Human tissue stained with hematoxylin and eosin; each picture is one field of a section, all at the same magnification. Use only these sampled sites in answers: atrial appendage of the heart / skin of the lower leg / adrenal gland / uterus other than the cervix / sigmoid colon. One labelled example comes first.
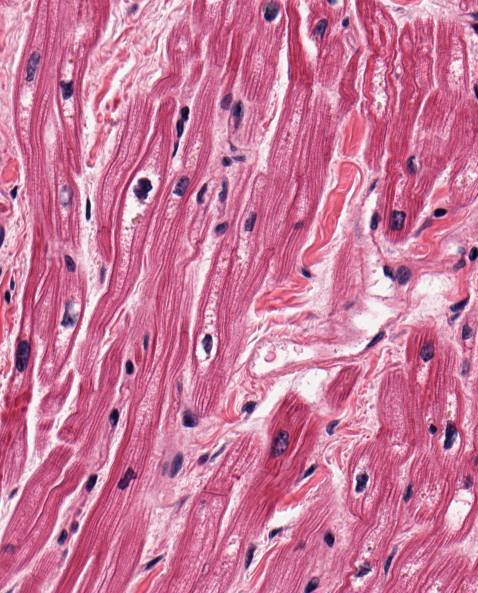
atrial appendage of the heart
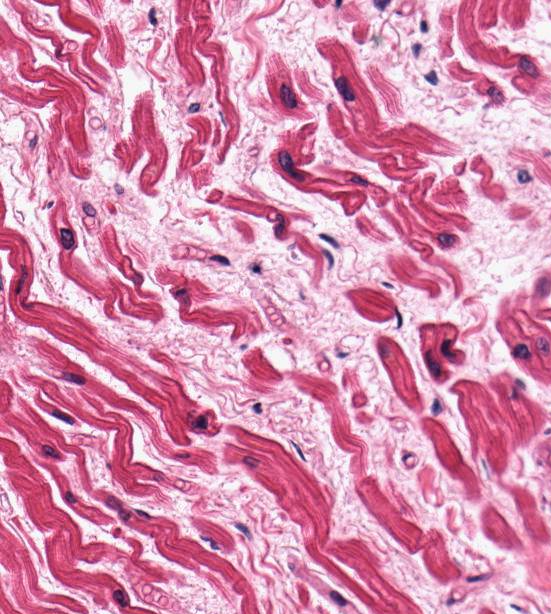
atrial appendage of the heart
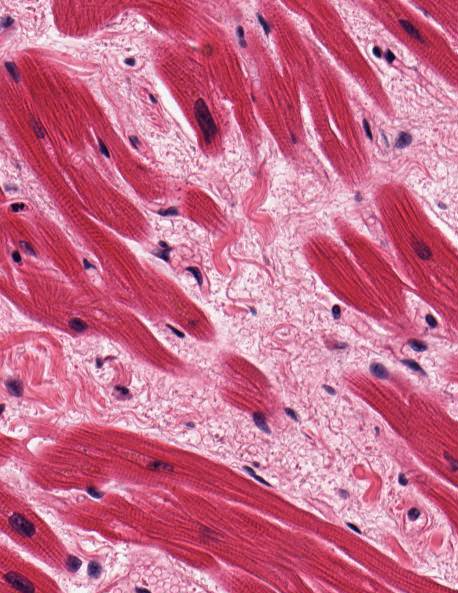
atrial appendage of the heart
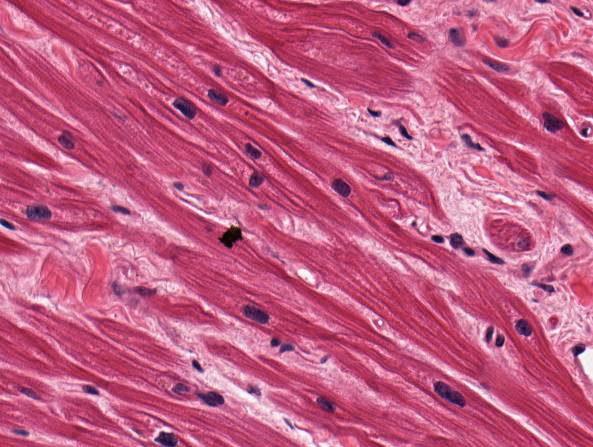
atrial appendage of the heart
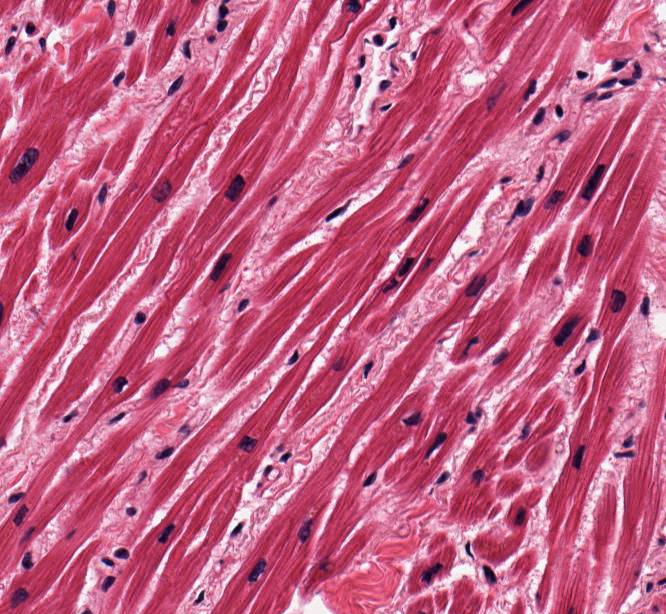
atrial appendage of the heart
